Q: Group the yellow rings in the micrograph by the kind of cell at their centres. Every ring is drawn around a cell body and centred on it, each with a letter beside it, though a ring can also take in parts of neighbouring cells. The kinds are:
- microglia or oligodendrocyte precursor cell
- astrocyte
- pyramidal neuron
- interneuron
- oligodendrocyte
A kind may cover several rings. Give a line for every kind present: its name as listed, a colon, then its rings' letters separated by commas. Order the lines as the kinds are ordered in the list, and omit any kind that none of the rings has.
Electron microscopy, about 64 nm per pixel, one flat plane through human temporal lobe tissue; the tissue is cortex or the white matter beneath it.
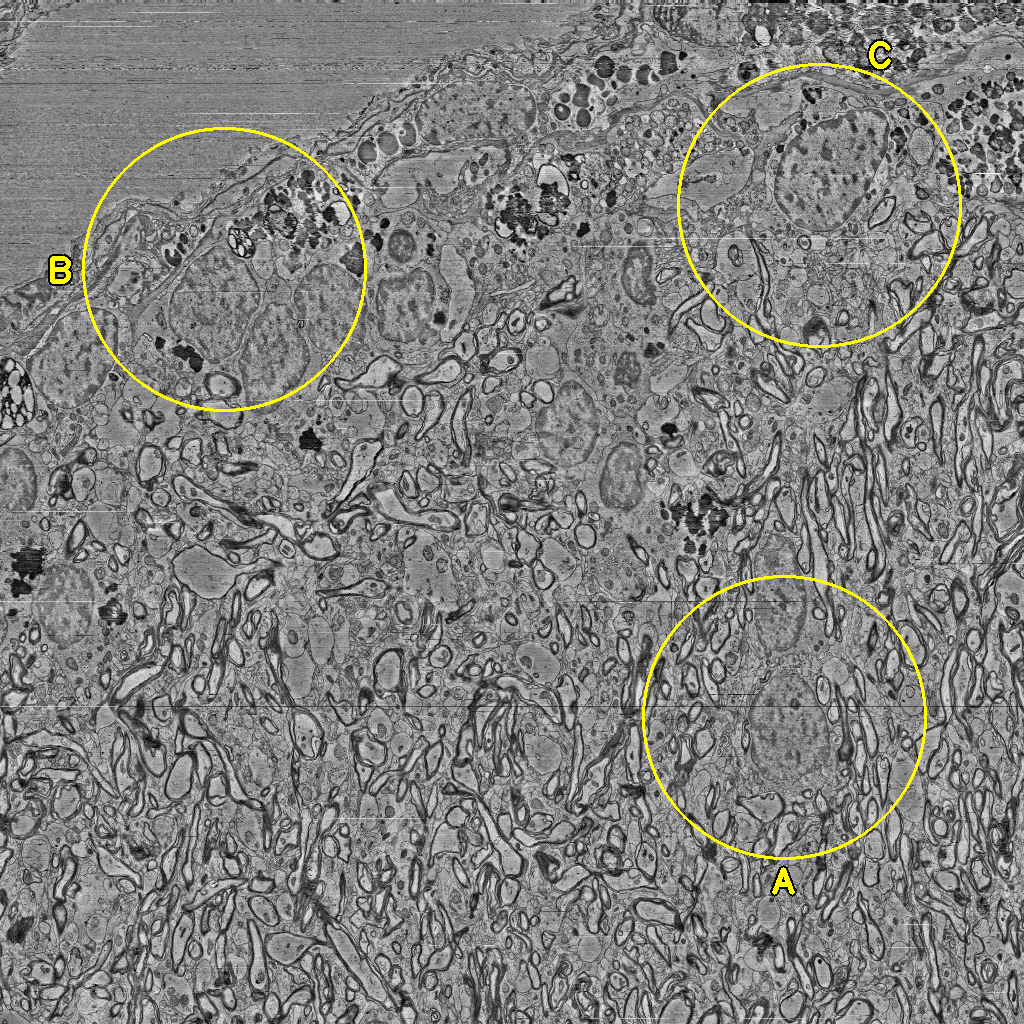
microglia or oligodendrocyte precursor cell: C
oligodendrocyte: A, B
